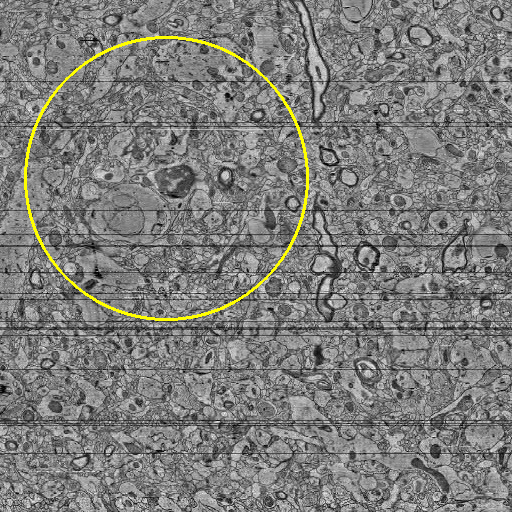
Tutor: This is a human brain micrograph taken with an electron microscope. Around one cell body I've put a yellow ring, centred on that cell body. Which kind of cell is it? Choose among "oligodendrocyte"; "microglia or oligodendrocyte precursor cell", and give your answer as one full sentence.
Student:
Going by your list, the cell centred in the yellow ring is a microglial cell or oligodendrocyte precursor cell.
